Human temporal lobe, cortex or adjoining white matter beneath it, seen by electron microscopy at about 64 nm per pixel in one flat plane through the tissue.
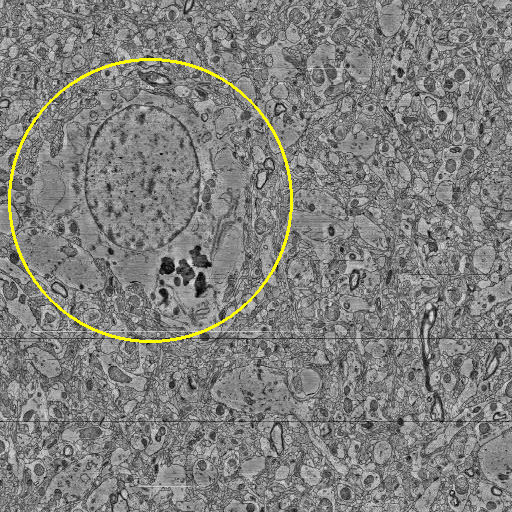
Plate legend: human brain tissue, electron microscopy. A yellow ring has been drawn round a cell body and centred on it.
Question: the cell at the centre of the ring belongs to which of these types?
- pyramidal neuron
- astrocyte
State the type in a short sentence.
The cell in the middle of the ring is an astrocyte.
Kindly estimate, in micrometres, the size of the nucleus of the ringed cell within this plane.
Approximately 10 by 7 micrometers in this plane.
